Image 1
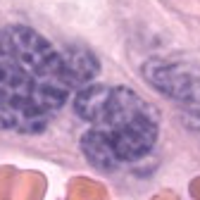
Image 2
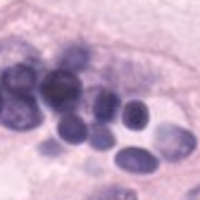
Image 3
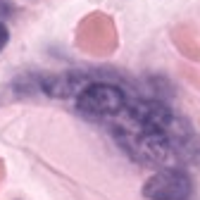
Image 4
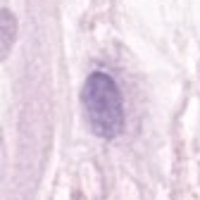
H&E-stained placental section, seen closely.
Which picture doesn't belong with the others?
Picture 4.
